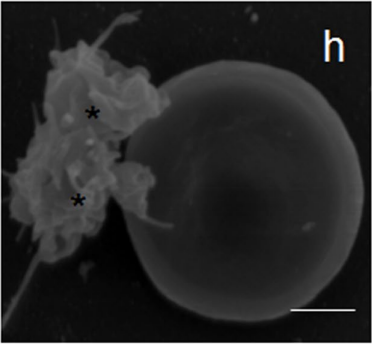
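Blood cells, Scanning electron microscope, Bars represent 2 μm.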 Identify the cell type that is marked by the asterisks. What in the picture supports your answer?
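Activated platelets. A small cluster of crumpled, irregular bodies sits at the edge of a smooth round cell. The small bodies have ruffled surfaces and short projections.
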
